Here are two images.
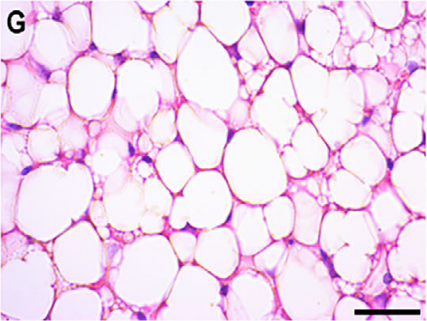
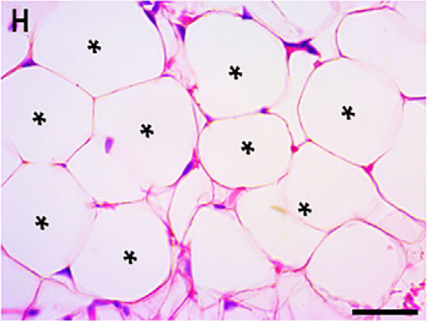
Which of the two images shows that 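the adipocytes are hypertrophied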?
the second image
